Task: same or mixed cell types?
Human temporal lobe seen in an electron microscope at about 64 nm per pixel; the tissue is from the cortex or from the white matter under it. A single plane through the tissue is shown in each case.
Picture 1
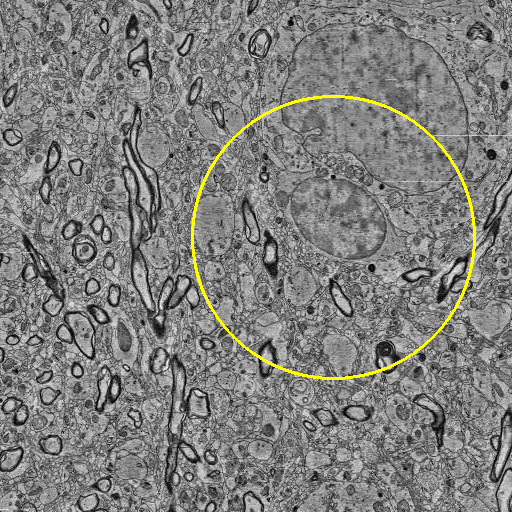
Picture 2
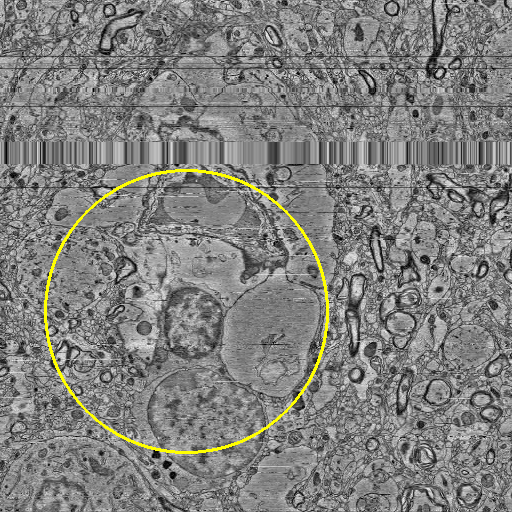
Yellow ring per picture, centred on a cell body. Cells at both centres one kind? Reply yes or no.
yes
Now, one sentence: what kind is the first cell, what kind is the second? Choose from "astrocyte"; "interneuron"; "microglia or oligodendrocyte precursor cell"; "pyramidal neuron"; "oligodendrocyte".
Both rings mark an oligodendrocyte, one in each picture.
